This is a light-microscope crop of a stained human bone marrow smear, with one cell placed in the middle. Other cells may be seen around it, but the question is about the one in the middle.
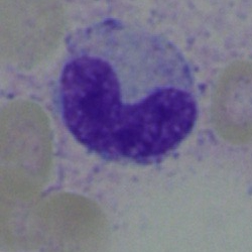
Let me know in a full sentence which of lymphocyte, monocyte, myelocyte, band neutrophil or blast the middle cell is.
The middle of this crop holds a band neutrophil.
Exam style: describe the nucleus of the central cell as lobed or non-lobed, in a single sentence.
Its nucleus is compact and single, with a round, oval or kidney-shaped form.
